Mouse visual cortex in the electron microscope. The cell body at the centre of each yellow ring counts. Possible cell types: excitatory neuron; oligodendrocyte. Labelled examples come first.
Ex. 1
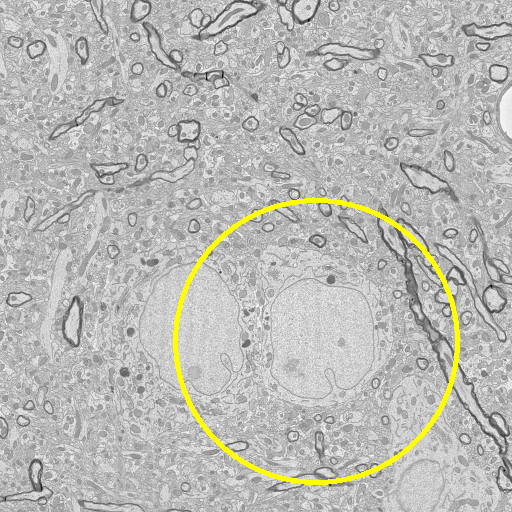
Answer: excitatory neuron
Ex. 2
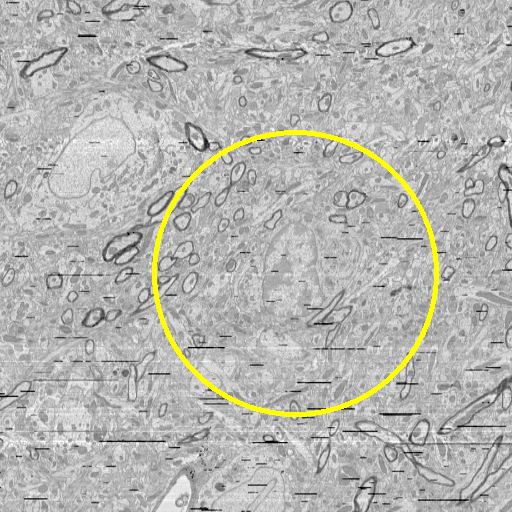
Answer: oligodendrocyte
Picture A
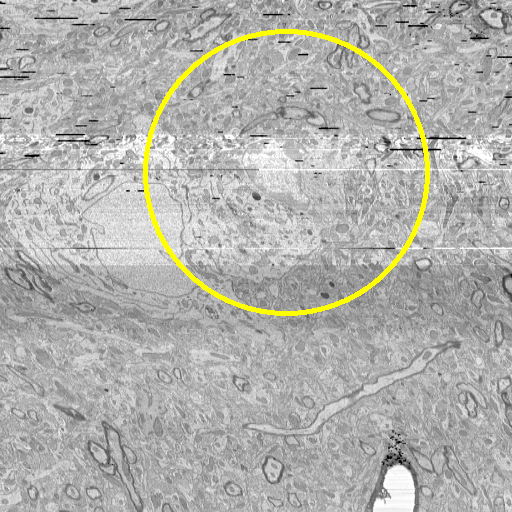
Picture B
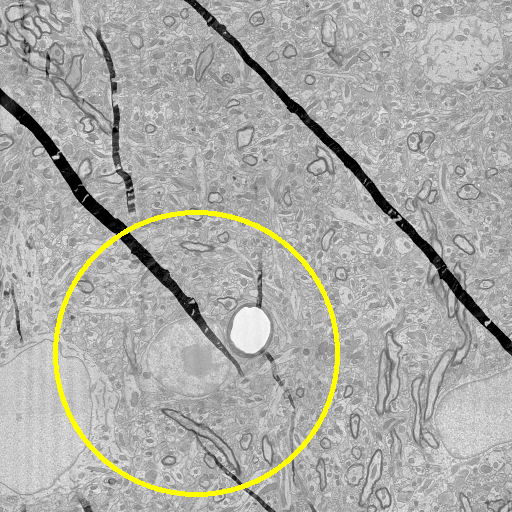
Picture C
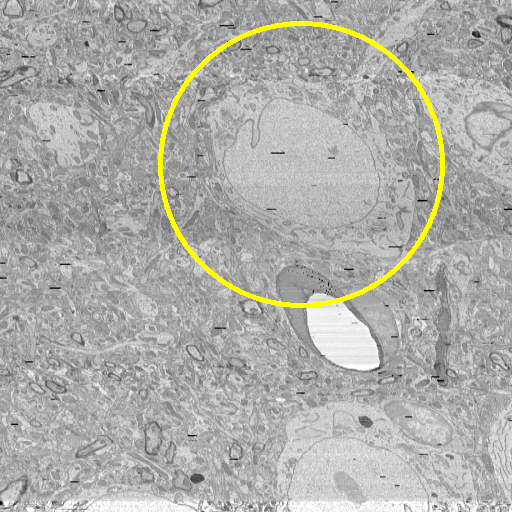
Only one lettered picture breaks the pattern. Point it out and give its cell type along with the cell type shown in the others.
C differs and shows excitatory neuron; the others show oligodendrocyte.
